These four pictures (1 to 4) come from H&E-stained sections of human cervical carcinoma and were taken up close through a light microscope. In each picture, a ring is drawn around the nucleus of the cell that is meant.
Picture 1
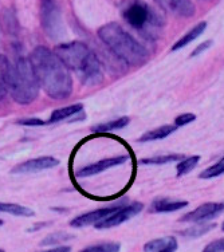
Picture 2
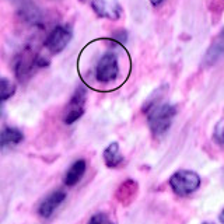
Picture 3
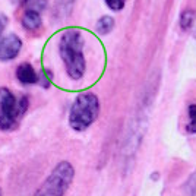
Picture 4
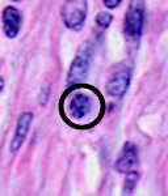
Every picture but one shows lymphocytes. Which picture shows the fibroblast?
1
